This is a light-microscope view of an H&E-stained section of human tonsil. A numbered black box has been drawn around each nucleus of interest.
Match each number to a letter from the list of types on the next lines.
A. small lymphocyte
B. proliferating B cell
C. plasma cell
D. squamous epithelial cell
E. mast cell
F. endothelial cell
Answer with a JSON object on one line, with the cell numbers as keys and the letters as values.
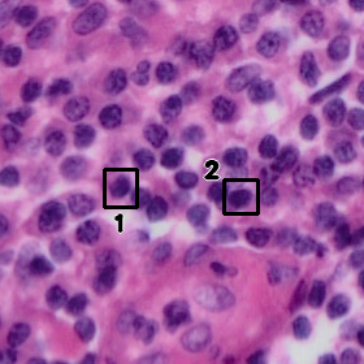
{"1": "C", "2": "A"}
